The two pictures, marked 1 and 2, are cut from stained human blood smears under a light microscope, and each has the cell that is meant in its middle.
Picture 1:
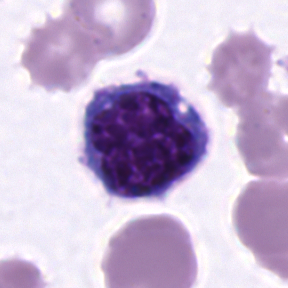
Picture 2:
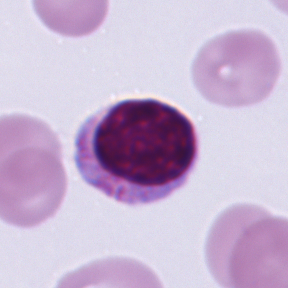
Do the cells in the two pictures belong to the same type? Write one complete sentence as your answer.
No. Picture 1 shows a plasma cell, but picture 2 shows a large granular lymphocyte.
